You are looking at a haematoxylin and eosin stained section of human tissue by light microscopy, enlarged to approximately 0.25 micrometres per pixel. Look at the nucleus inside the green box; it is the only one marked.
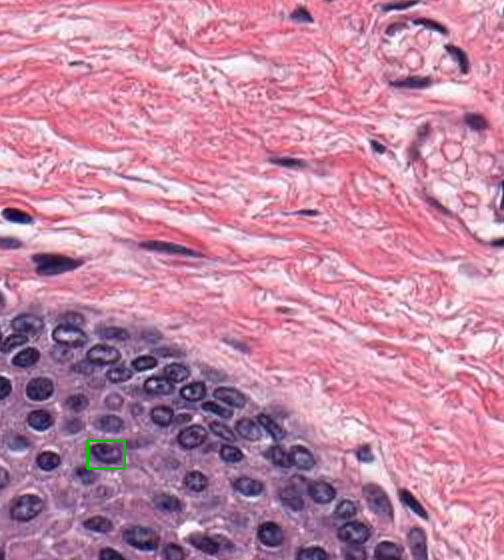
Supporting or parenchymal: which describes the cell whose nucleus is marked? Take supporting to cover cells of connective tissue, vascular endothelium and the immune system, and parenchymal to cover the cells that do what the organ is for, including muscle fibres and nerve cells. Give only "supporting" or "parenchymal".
parenchymal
